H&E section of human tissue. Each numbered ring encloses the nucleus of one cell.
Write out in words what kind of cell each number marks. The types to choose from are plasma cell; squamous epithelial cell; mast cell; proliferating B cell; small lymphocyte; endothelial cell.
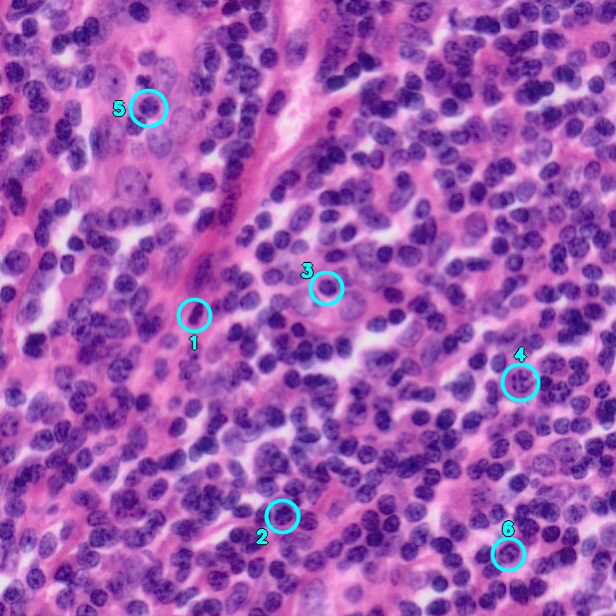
Cells 1, 3 and 5 are endothelial cells. Cell 2 is a small lymphocyte. Cells 4 and 6 are plasma cells.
